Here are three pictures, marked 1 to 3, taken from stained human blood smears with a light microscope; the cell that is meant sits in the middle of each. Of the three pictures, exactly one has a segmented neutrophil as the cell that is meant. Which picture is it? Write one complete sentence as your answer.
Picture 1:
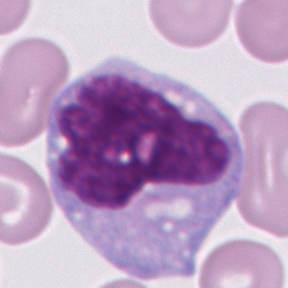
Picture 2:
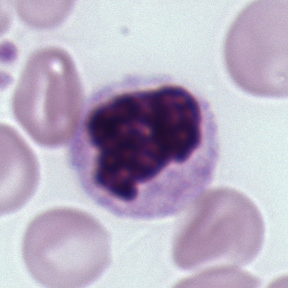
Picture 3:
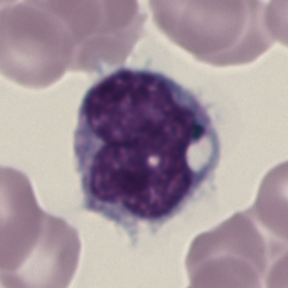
It is picture 2 that shows the segmented neutrophil.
